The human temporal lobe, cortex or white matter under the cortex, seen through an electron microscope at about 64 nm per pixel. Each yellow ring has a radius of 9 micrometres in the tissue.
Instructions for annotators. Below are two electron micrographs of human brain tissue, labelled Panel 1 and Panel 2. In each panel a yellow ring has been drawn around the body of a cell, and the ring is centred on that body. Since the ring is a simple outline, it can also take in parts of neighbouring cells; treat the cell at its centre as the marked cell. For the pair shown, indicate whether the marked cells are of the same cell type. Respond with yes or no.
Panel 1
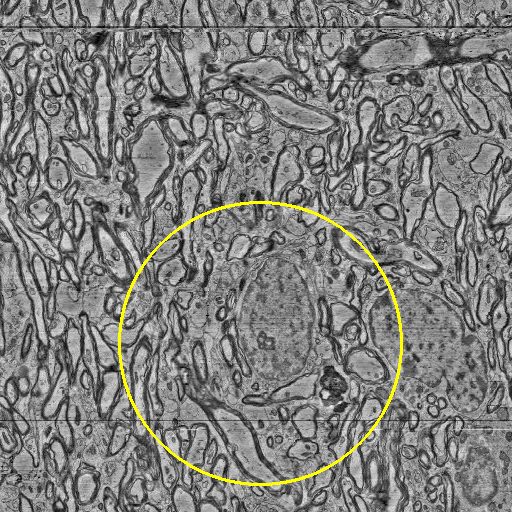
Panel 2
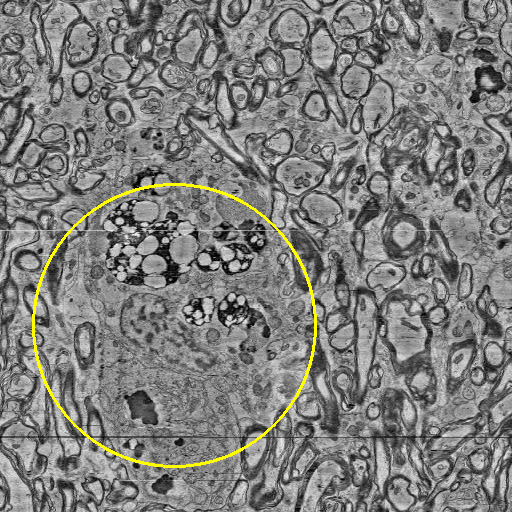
no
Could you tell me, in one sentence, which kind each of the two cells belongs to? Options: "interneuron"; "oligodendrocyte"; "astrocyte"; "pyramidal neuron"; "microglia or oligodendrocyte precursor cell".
At the centre of the first ring sits an oligodendrocyte, and at the centre of the second sits an astrocyte.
